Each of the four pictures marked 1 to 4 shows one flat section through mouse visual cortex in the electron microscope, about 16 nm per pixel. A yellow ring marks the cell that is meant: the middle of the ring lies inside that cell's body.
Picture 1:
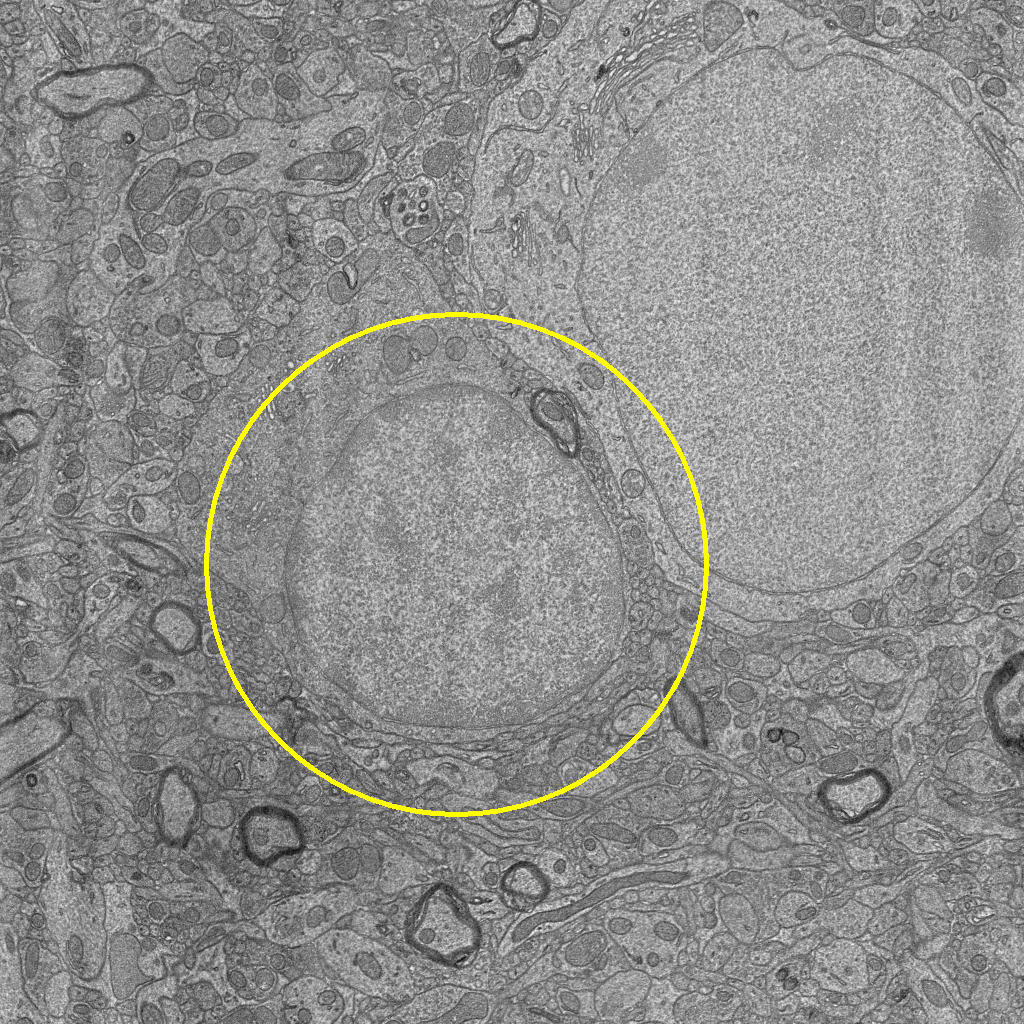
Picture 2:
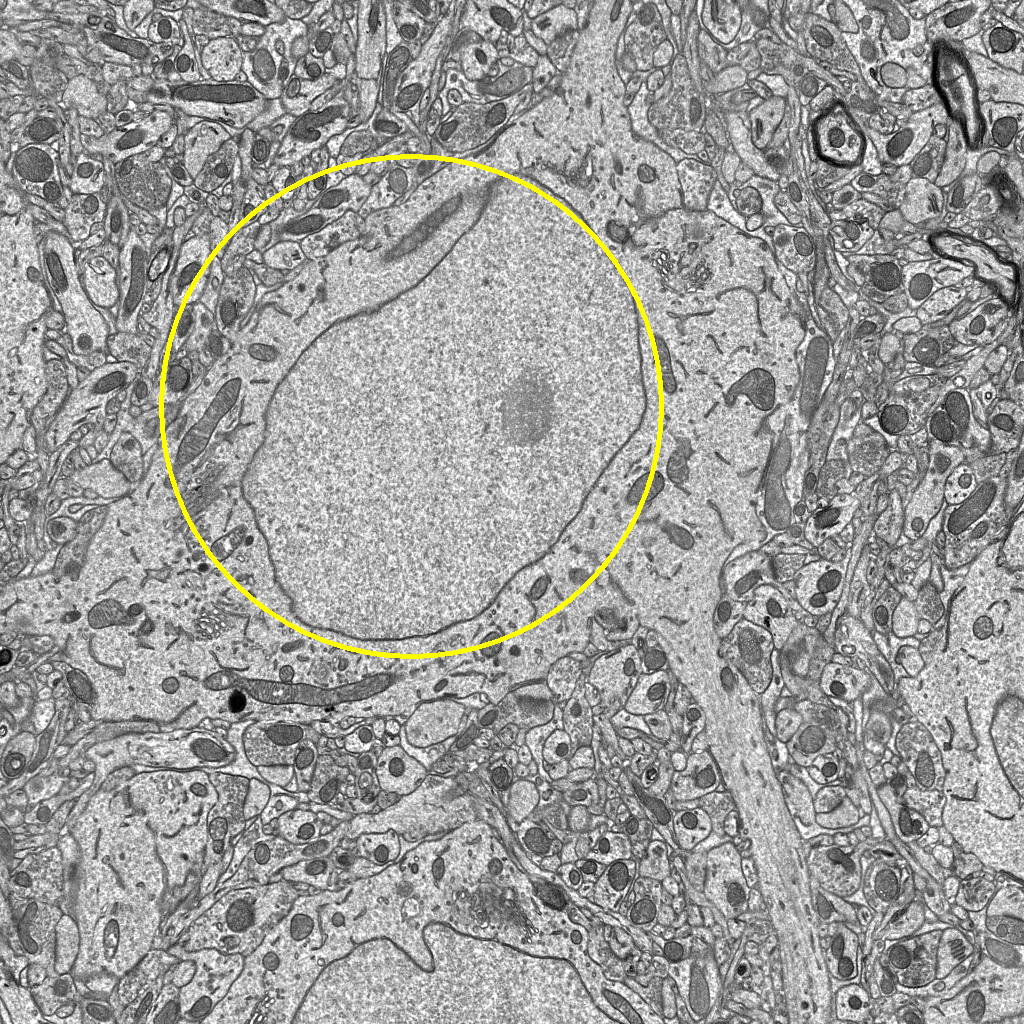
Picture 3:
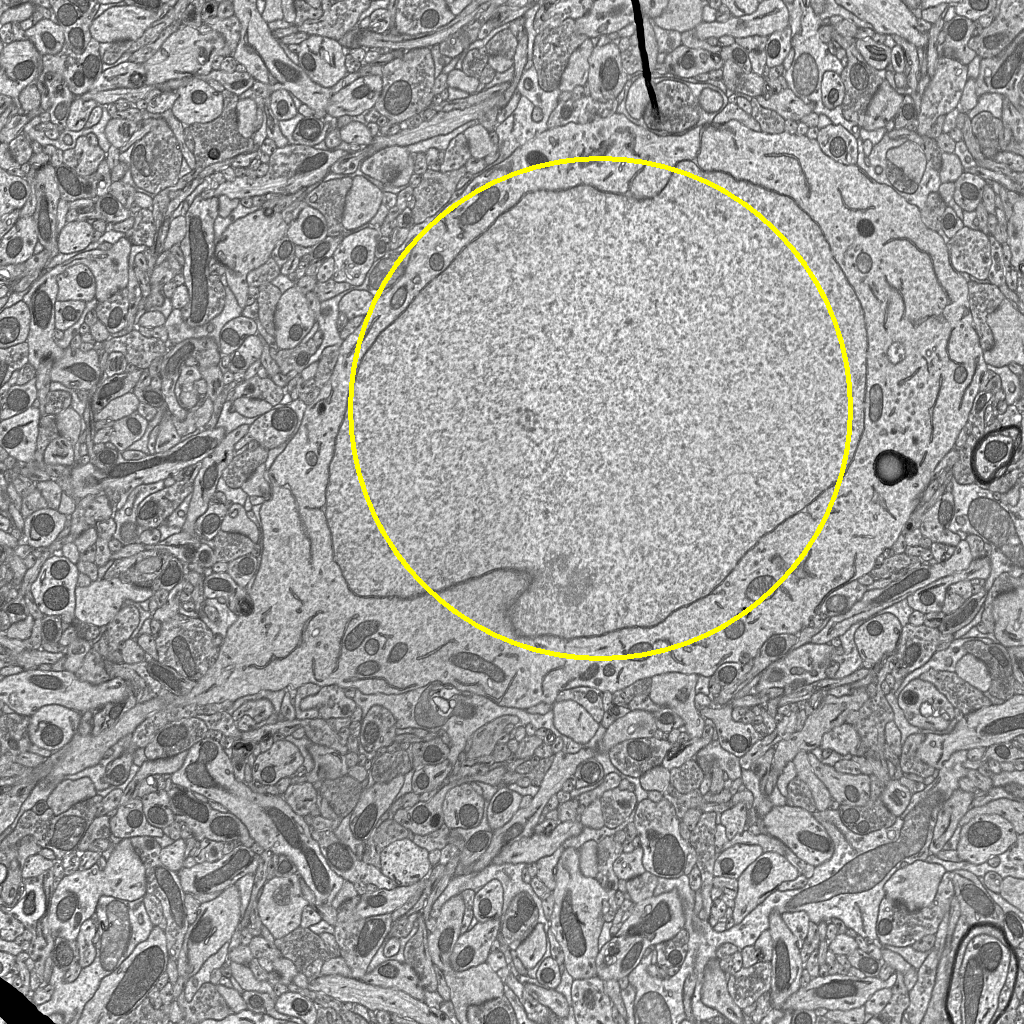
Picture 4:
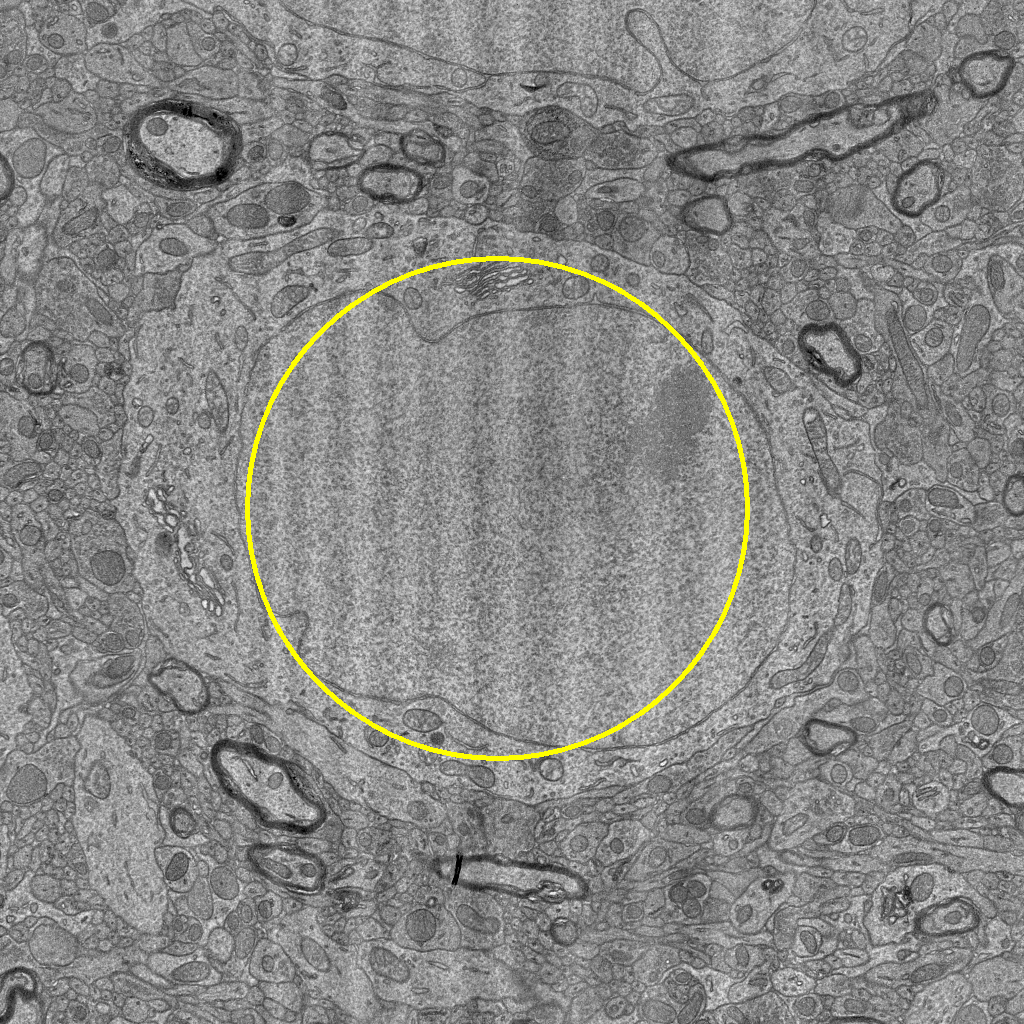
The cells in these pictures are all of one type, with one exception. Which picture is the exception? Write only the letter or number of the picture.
1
